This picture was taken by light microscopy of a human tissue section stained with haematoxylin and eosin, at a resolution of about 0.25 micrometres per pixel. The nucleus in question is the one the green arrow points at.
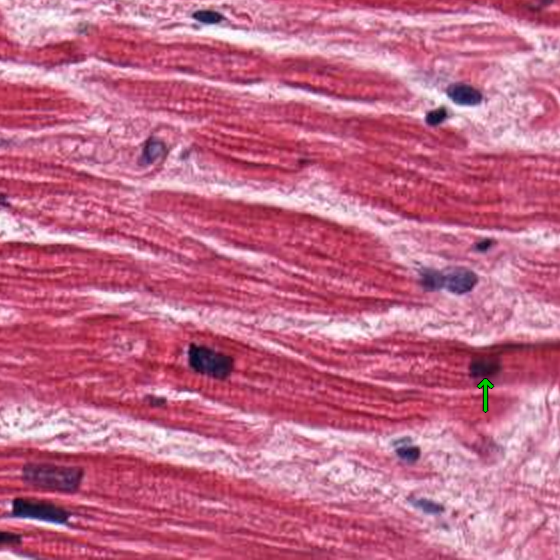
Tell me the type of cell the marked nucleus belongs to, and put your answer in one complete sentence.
In this picture it is a cardiomyocyte whose nucleus is marked.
